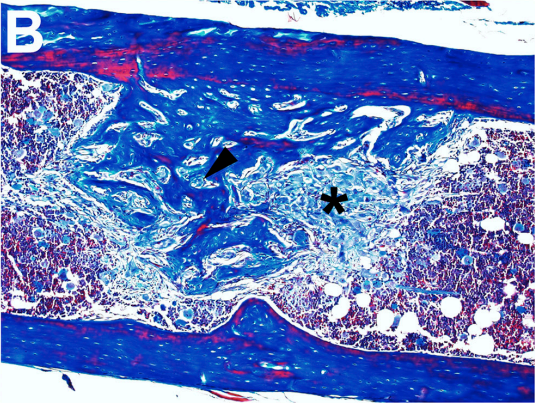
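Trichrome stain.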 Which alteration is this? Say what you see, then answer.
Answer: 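Normal red marrow remains only at the left and right ends of the cavity.
Hence: extensive intracavitary osteogenesis.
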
